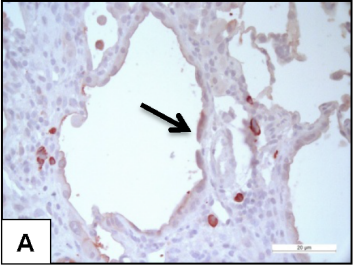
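This is lung tissue with a large open airspace bordered by thickened walls, in which the epithelial lining and scattered cells carry a brown stain. The thin flattened cells lining the airspace show a faint brown tint along their surface. Within the surrounding walls a few rounded cells stand out with intense brown cytoplasm.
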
